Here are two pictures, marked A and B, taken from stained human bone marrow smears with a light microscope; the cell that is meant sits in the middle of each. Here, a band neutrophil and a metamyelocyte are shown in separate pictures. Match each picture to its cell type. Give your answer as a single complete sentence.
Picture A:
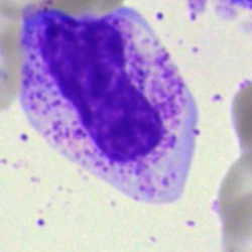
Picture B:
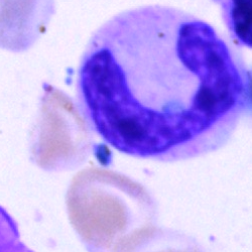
In picture A the cell is a metamyelocyte; in picture B, a band neutrophil.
